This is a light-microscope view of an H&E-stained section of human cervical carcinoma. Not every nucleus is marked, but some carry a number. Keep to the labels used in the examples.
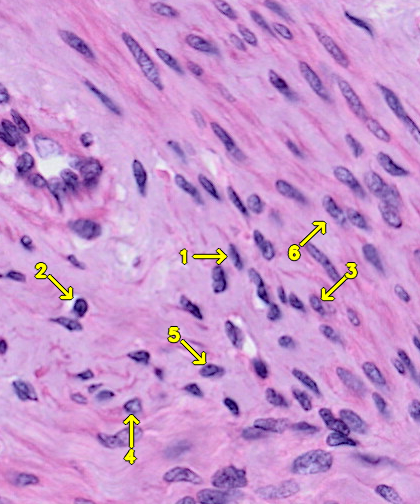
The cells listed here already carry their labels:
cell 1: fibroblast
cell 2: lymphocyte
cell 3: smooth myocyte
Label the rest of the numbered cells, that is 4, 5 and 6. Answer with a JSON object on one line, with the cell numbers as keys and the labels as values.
{"4": "smooth myocyte", "5": "fibroblast", "6": "smooth myocyte"}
